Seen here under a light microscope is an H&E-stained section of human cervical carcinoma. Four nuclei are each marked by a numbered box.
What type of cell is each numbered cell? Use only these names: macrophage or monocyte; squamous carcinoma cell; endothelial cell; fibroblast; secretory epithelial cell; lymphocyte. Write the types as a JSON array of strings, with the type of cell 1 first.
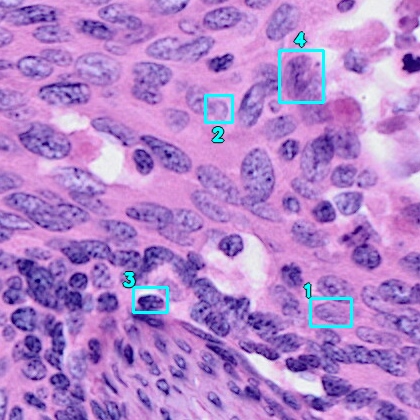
["squamous carcinoma cell", "squamous carcinoma cell", "lymphocyte", "squamous carcinoma cell"]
